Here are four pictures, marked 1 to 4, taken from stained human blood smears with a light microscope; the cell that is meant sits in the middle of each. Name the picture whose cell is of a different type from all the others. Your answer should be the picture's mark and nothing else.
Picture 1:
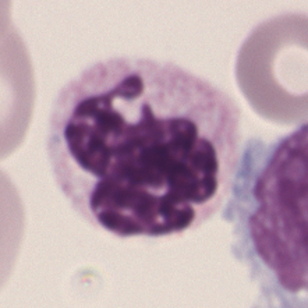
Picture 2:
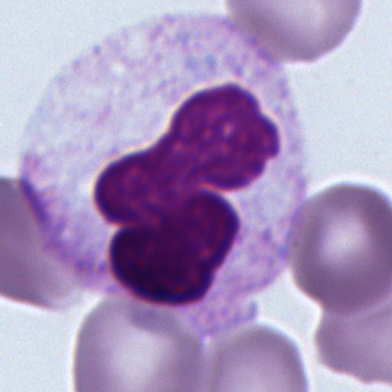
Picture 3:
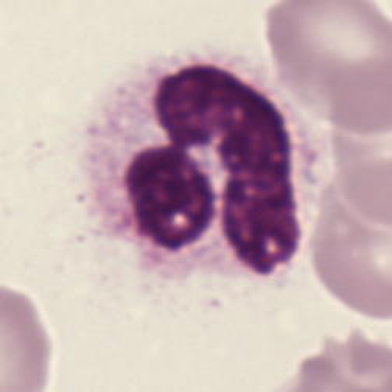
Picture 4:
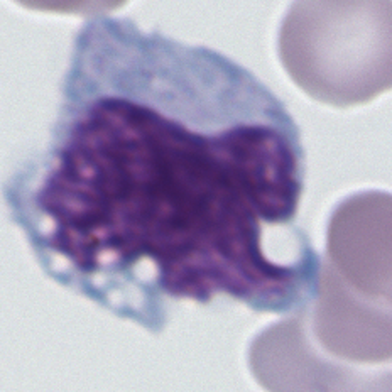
4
